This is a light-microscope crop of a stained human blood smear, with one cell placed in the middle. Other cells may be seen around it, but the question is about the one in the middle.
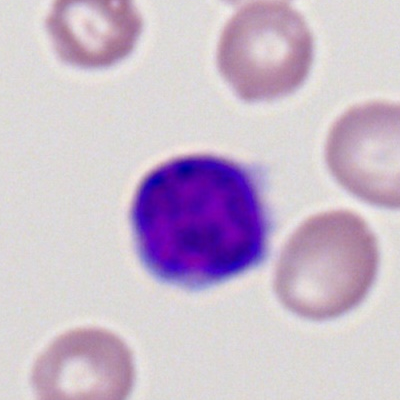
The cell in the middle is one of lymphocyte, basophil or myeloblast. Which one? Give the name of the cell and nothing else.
lymphocyte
